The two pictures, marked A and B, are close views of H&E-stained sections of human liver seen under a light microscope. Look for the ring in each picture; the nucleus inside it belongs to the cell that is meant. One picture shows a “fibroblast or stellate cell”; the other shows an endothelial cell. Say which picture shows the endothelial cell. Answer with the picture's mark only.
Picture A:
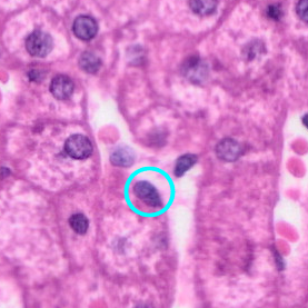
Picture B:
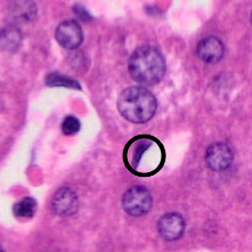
B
